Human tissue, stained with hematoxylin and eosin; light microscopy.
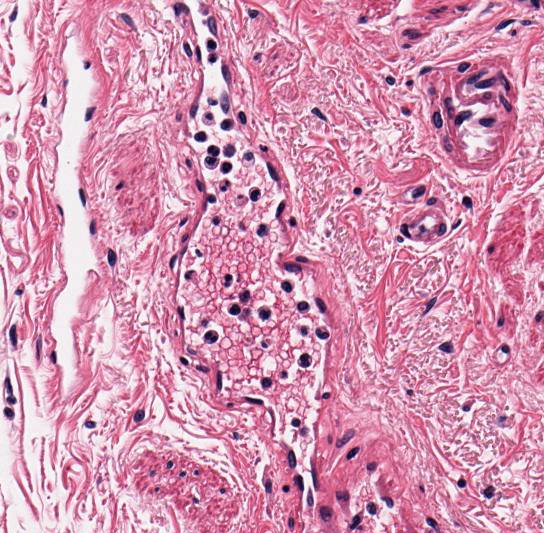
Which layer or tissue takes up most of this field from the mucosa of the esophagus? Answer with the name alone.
loose connective tissue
